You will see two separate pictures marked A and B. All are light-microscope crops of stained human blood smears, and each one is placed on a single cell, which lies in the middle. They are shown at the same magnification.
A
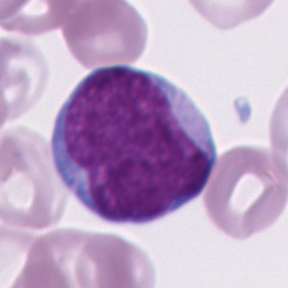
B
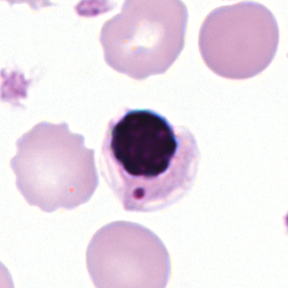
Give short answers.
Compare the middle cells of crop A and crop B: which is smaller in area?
B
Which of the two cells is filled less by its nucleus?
B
